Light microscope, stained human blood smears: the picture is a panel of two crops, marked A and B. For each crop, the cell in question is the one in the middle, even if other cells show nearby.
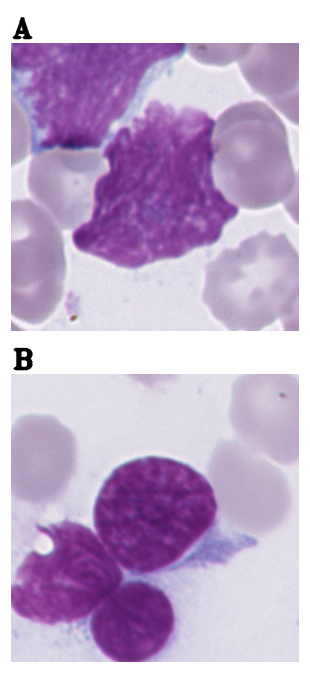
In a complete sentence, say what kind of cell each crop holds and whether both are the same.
No, a smudge cell and a myeloblast are found in crop A and crop B, respectively.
